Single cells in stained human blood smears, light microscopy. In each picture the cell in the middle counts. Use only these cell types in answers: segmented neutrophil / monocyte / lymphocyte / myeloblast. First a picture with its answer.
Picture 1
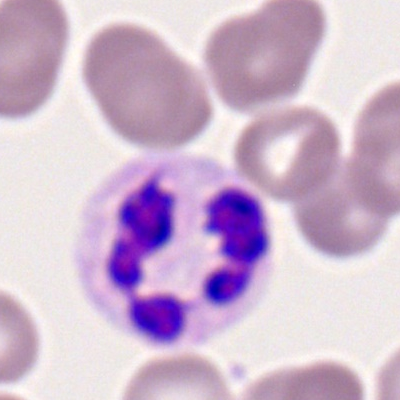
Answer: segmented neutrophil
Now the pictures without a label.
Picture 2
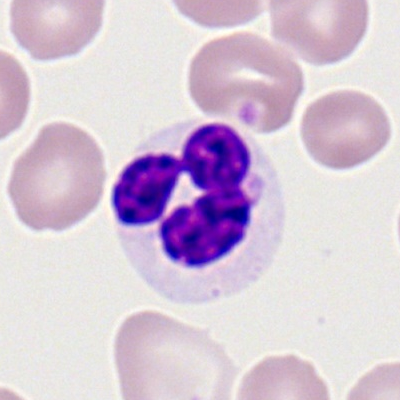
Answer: segmented neutrophil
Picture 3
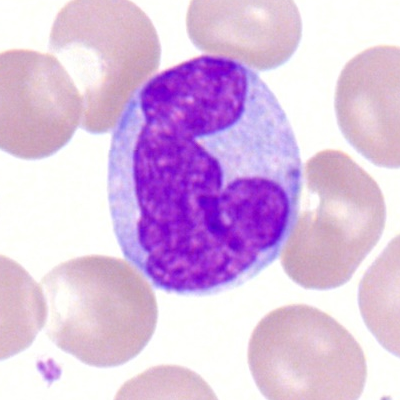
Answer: monocyte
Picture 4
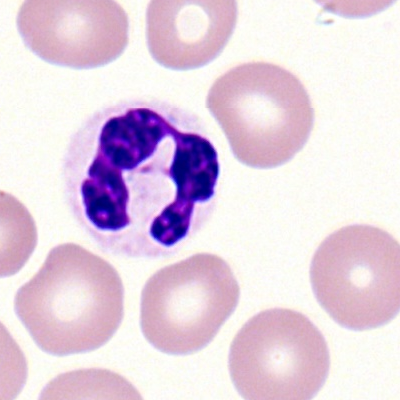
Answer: segmented neutrophil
